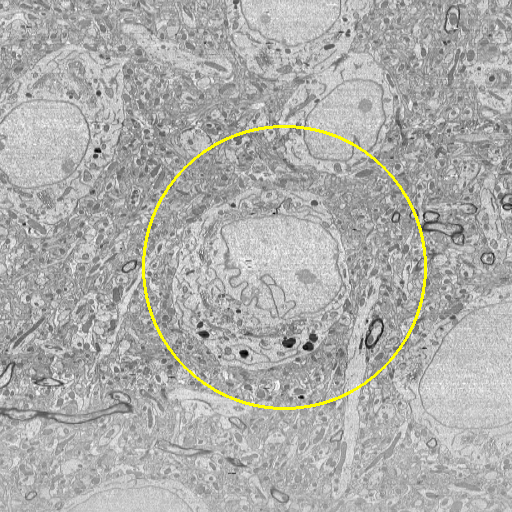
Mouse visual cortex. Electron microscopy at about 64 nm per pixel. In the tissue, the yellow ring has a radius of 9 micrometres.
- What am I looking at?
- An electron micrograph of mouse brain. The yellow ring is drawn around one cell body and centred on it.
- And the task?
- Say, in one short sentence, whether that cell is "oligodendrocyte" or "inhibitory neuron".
The cell in the middle of the ring is an inhibitory neuron.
